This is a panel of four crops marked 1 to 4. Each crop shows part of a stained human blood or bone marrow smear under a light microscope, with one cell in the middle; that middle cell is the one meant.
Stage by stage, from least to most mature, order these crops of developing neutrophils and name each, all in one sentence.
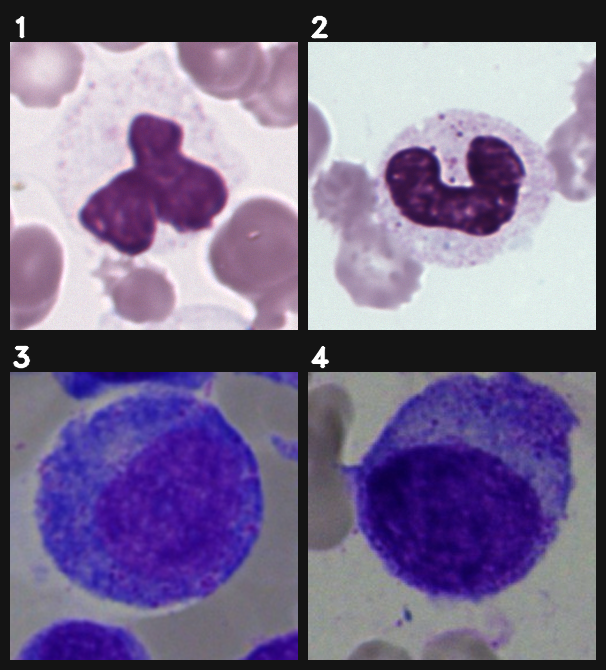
What results from ordering by maturity, least to most, is crop 3 (a promyelocyte), crop 4 (a myelocyte), crop 2 (a band neutrophil) and crop 1 (a segmented neutrophil).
